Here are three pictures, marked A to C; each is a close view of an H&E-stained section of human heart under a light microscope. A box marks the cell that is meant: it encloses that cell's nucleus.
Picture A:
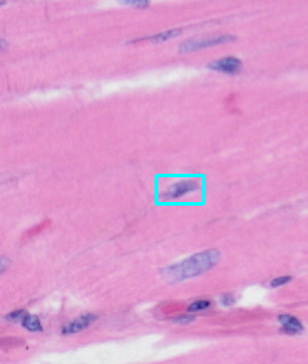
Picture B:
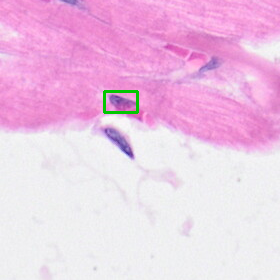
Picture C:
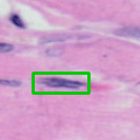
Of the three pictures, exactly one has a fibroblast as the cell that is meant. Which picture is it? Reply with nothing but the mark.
B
